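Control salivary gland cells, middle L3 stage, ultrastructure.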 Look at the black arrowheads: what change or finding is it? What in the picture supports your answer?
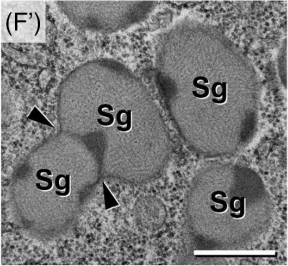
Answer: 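Homotypic fusion of immature glue granules. Two round granules of similar grey density touch and merge where the arrowheads point.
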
